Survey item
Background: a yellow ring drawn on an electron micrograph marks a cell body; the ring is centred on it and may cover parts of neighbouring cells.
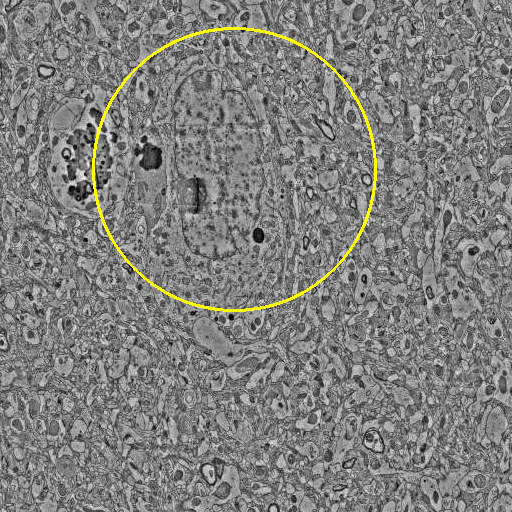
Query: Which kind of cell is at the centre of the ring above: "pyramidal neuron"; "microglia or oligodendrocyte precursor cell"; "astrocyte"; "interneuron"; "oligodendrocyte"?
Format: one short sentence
The cell in the middle of the ring is an interneuron.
